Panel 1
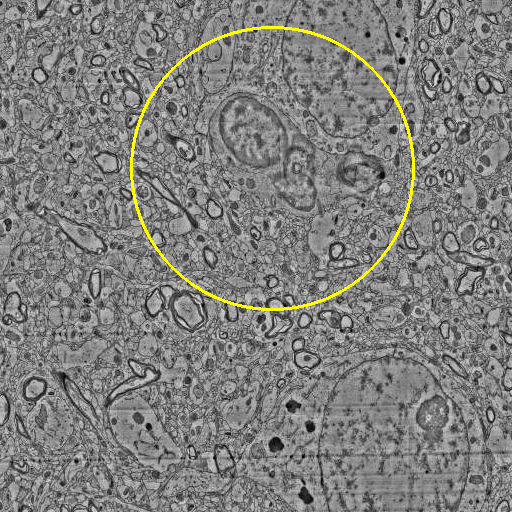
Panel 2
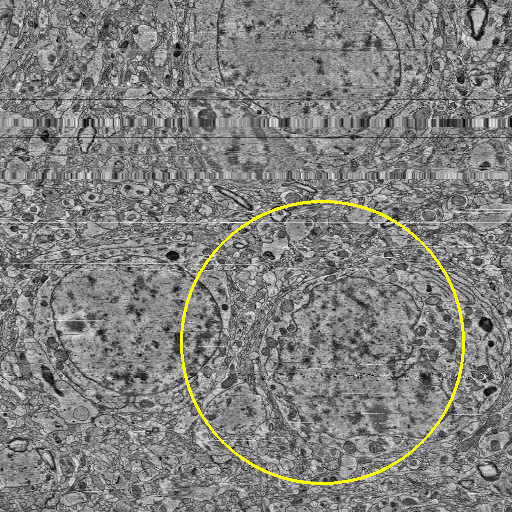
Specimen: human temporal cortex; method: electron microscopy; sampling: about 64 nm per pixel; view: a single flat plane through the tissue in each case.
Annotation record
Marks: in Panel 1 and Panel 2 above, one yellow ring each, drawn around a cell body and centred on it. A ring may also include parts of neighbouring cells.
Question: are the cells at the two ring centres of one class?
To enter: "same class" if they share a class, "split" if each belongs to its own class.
split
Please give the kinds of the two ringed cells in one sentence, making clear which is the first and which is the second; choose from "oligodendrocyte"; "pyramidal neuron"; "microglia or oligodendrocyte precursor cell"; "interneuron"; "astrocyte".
In the second picture the ringed cell is an interneuron; in the first it is an oligodendrocyte.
